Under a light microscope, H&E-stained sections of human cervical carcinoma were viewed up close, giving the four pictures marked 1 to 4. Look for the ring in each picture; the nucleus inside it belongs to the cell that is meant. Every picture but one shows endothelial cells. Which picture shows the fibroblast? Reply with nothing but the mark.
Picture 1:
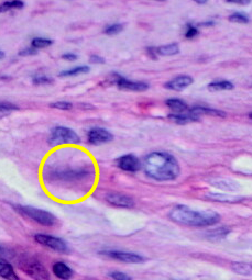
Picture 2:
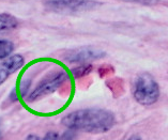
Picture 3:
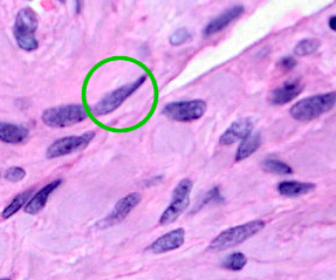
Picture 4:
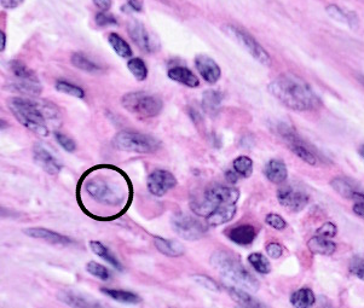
3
